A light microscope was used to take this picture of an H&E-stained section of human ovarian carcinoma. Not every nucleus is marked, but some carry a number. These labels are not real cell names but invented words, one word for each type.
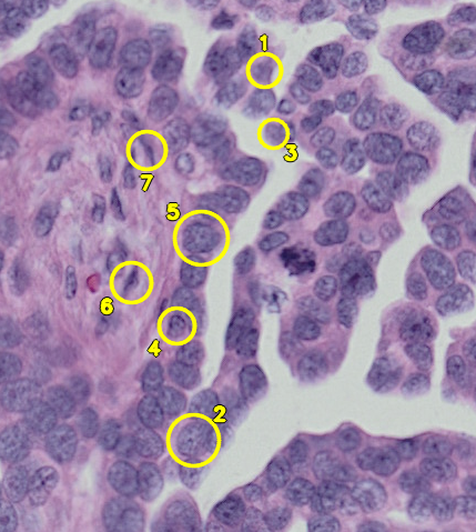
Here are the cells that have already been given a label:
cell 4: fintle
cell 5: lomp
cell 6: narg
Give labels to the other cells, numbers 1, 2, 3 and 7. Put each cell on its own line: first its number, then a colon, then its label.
1: lomp
2: lomp
3: lomp
7: narg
